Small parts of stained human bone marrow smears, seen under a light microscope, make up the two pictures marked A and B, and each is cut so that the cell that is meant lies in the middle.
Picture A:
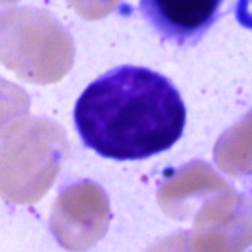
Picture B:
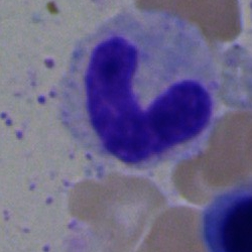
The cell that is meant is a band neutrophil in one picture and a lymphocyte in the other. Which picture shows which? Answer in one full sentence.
The cell in picture A is a lymphocyte, and the one in picture B is a band neutrophil.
